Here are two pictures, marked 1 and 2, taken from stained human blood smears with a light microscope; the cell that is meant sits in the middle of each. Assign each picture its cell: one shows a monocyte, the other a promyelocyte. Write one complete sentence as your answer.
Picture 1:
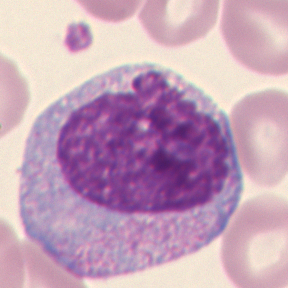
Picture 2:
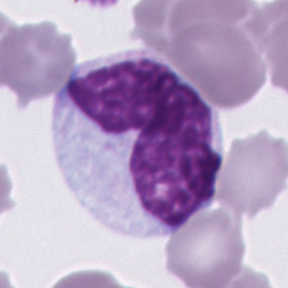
Picture 1 shows a promyelocyte and picture 2 shows a monocyte.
